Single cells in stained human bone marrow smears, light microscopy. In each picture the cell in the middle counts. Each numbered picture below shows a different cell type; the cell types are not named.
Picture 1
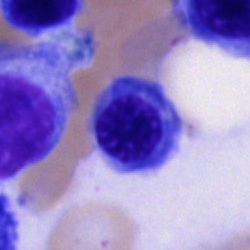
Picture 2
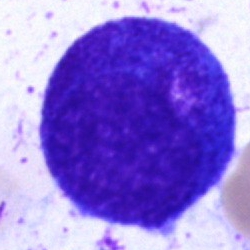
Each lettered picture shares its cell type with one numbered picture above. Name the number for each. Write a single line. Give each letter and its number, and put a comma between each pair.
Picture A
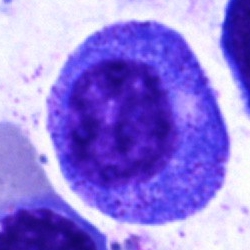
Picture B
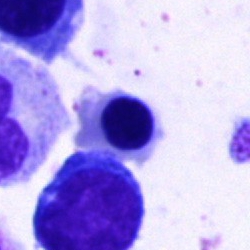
A 2, B 1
